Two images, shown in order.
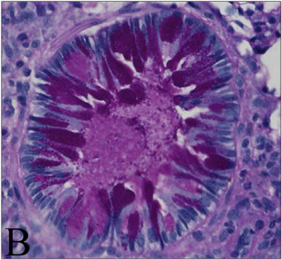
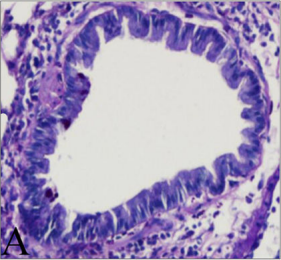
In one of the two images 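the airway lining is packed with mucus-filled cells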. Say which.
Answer: the first image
